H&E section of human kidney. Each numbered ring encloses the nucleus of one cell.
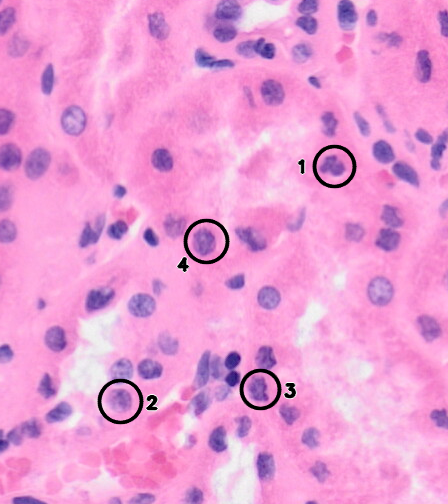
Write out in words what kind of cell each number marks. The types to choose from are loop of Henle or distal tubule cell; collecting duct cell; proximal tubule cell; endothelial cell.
Cells 1, 3 and 4 are proximal tubule cells. Cell 2 is a loop of Henle or distal tubule cell.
